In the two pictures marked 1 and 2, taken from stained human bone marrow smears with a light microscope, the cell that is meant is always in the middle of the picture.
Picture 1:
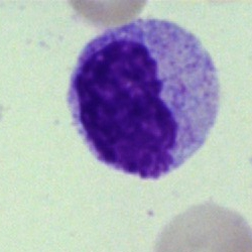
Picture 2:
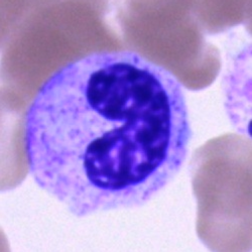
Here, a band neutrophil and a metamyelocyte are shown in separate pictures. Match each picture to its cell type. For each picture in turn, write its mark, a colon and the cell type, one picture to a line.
1: metamyelocyte
2: band neutrophil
